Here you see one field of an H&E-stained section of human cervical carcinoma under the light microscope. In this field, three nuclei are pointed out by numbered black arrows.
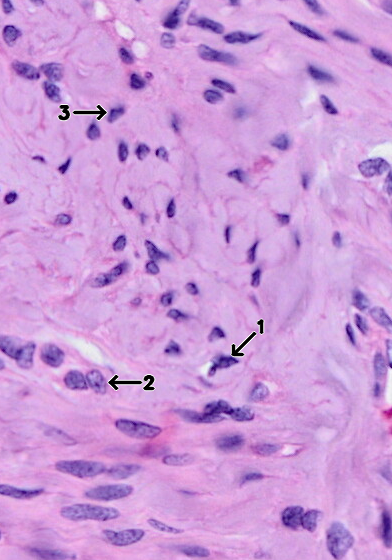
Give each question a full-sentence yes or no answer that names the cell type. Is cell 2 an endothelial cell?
Yes, within this section, cell number 2 is an endothelial cell.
